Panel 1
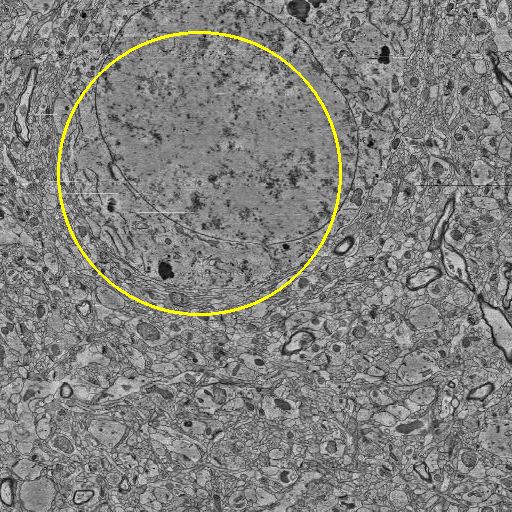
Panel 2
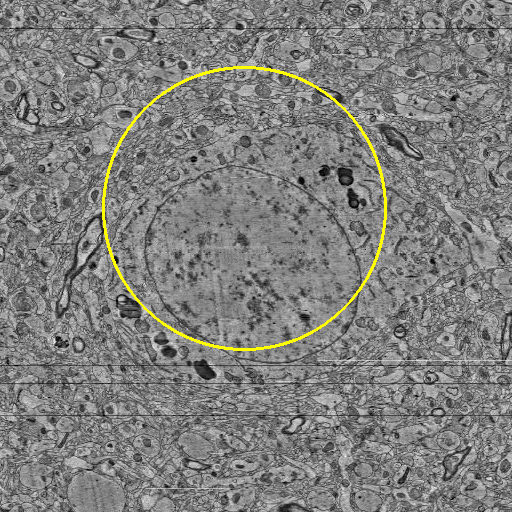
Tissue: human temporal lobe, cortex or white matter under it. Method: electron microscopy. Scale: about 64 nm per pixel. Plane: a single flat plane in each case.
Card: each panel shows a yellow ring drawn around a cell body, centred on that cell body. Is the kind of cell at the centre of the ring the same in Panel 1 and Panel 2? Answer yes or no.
yes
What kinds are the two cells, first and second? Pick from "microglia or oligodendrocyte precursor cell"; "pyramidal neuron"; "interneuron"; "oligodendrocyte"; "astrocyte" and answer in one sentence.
Both rings mark a pyramidal neuron, one in each picture.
